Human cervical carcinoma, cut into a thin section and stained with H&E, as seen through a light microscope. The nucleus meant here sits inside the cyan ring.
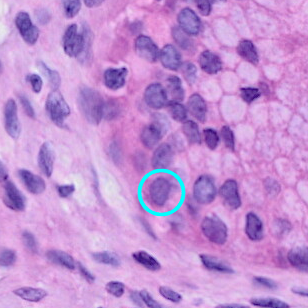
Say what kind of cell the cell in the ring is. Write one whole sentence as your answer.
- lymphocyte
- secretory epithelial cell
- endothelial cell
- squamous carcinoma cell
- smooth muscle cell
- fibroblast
The cell meant here is a secretory epithelial cell.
